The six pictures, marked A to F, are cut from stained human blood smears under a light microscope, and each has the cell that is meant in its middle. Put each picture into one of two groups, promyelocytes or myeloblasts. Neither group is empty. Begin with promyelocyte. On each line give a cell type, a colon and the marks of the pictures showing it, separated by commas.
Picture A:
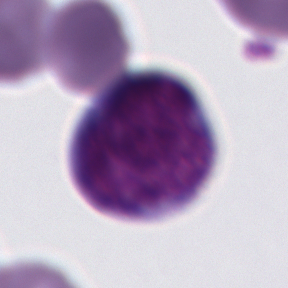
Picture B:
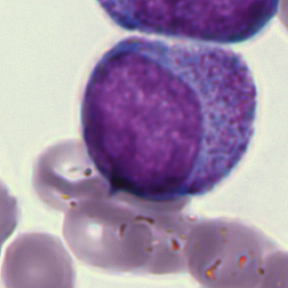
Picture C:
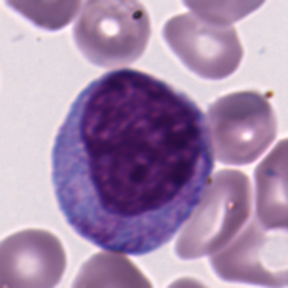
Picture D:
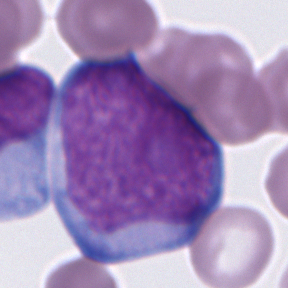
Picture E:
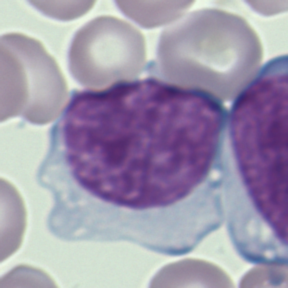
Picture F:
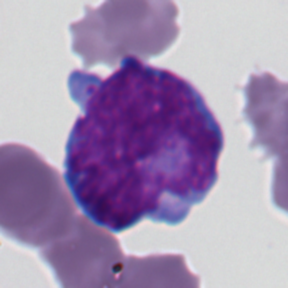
promyelocyte: B, C
myeloblast: A, D, E, F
